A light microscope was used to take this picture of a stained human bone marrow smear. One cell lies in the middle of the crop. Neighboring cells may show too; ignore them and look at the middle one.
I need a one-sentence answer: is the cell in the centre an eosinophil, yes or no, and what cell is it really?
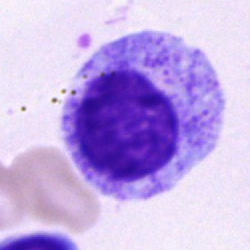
No, the cell sitting in the centre of the crop is a myelocyte, not an eosinophil.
